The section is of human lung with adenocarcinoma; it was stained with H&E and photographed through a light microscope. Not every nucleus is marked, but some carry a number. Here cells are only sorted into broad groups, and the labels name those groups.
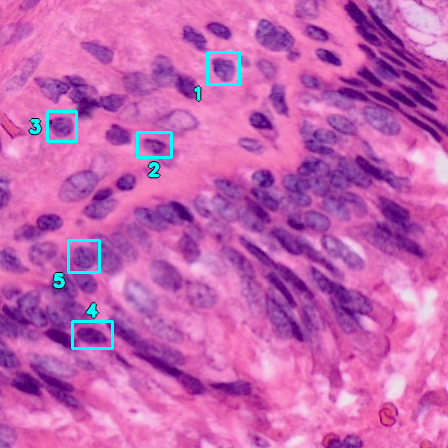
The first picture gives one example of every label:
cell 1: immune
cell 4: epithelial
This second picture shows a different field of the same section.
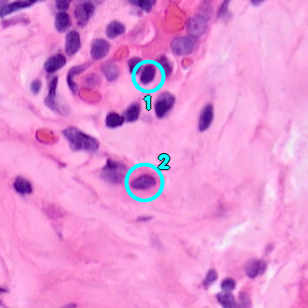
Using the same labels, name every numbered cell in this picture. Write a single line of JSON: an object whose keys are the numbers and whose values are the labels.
{"1": "immune", "2": "immune"}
